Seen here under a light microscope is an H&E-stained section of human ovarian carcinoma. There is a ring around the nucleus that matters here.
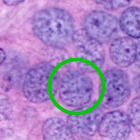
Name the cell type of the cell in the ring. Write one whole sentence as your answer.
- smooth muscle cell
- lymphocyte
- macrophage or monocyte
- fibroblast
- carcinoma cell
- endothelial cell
Within the stained tissue, the cell in the ring is a carcinoma cell.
